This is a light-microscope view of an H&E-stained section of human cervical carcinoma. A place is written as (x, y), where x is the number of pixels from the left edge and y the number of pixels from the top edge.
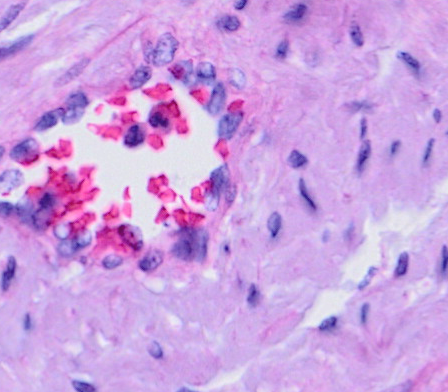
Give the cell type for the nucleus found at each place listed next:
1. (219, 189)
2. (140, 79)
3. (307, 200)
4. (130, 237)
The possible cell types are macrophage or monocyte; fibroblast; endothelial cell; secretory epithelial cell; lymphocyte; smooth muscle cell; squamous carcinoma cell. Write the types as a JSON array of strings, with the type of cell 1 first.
["endothelial cell", "endothelial cell", "fibroblast", "endothelial cell"]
